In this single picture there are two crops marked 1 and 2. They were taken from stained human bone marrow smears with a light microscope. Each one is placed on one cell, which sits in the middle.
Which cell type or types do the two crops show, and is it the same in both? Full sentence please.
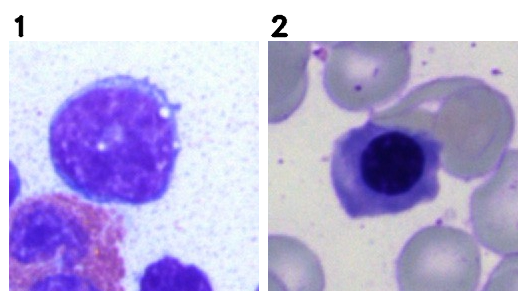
No, a normoblast is the cell of crop 2, while a lymphocyte is the cell of crop 1.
